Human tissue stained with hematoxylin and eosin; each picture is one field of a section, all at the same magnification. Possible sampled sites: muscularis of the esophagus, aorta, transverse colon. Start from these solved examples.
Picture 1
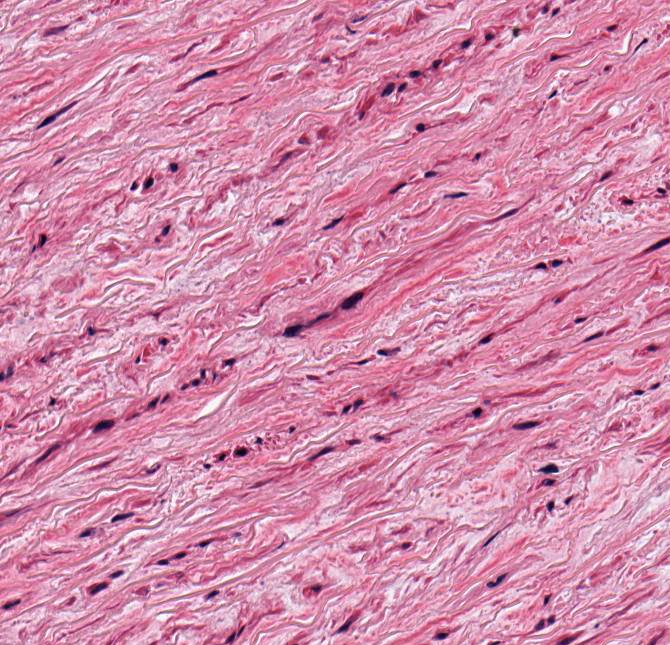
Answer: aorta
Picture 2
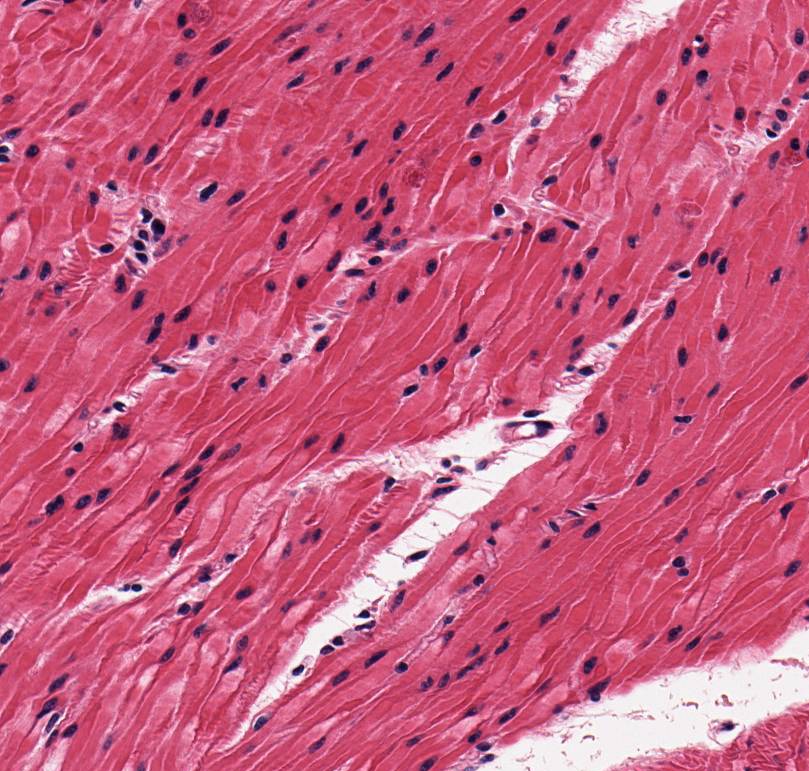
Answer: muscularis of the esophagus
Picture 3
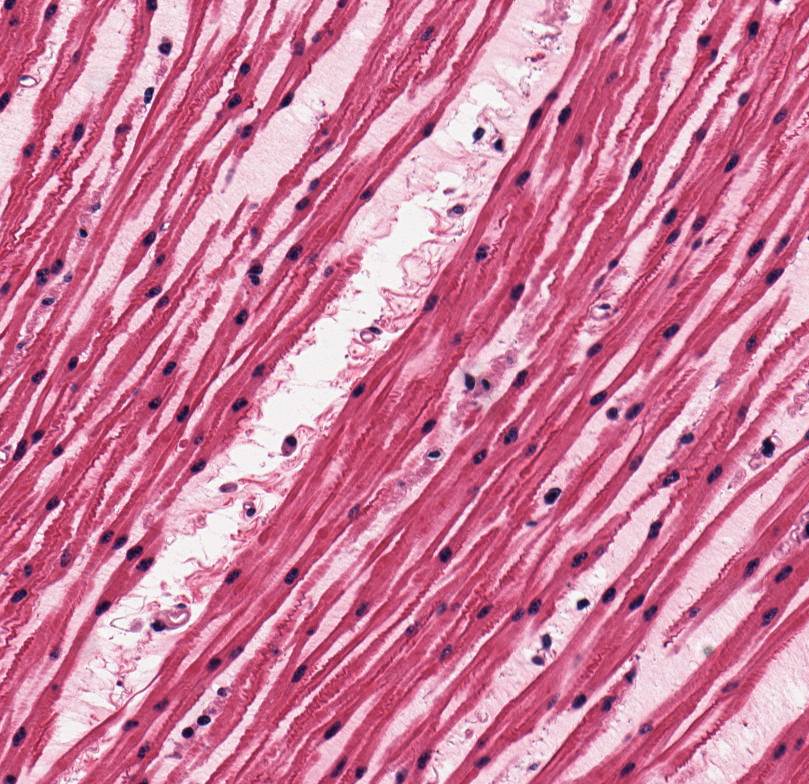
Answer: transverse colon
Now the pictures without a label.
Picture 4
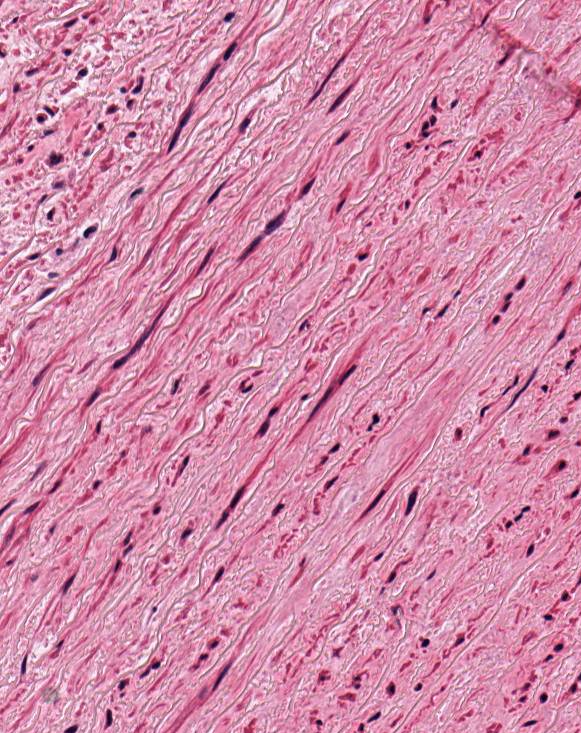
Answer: aorta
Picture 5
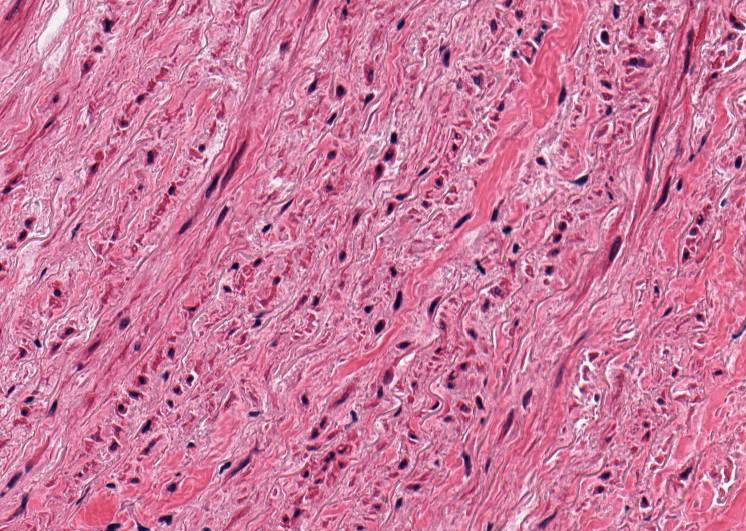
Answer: aorta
